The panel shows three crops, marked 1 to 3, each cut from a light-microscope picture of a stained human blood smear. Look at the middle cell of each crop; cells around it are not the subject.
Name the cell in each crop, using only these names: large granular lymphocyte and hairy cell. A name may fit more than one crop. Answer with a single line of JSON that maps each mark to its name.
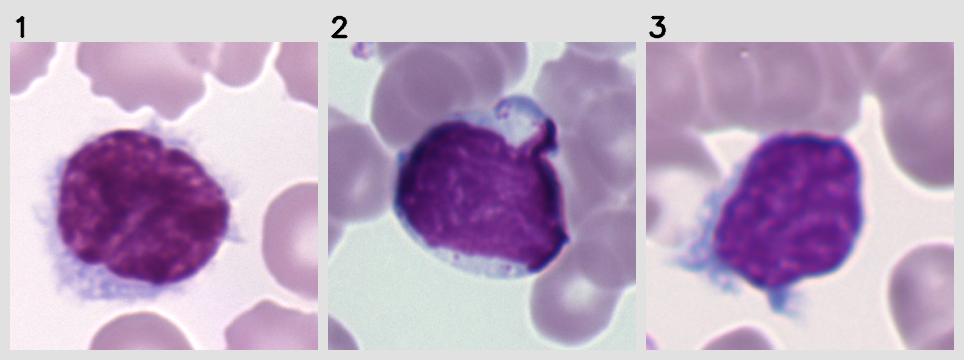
{"1": "hairy cell", "2": "large granular lymphocyte", "3": "hairy cell"}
